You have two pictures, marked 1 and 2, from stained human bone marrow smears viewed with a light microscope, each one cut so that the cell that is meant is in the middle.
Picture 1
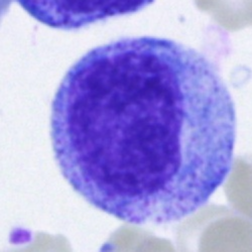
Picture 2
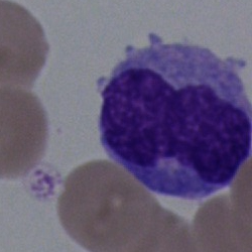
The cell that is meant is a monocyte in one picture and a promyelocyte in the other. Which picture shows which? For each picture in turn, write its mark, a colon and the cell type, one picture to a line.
1: promyelocyte
2: monocyte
